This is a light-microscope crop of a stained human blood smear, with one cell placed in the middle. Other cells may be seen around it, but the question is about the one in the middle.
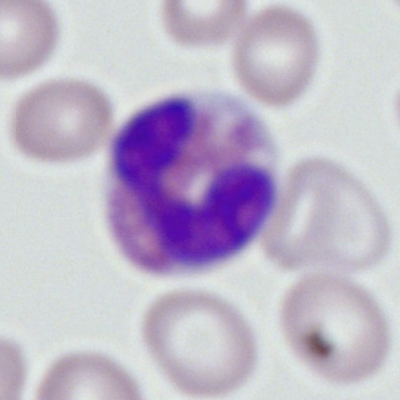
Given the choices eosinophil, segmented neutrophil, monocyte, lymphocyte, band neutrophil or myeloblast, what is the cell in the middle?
eosinophil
